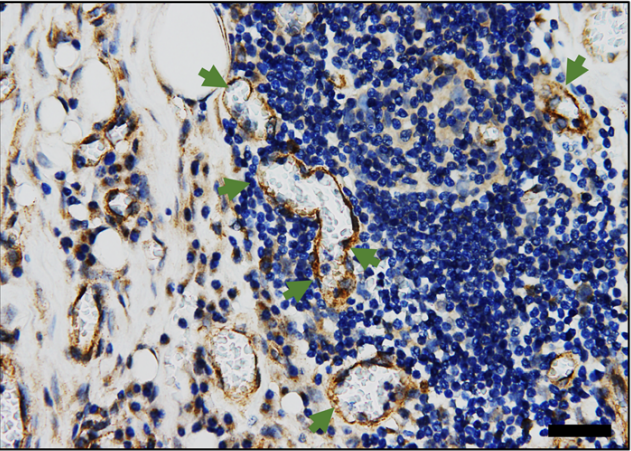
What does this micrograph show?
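Blood vessels filled with pale red blood cells are lined by thin, flattened endothelial cells whose edges are stained brown. Beside them lies a large dense mass of small round cells with dark blue nuclei, the accumulated lymphocytes, and loose pale connective tissue with fat spaces lies on the other side.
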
